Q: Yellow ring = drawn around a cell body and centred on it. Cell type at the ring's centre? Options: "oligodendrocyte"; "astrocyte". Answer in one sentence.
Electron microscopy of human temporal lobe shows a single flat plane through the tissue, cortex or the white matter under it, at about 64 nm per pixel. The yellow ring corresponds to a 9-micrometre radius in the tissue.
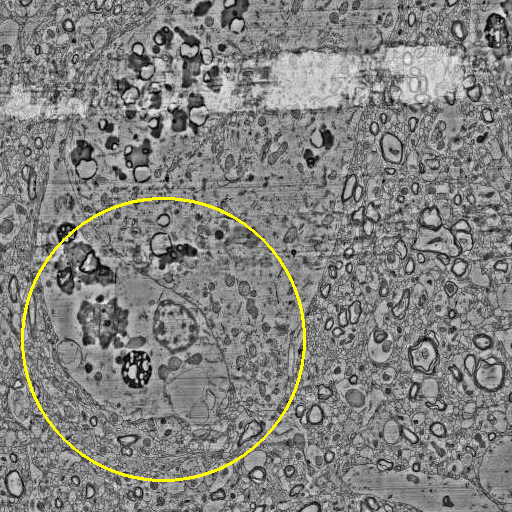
Centred in the ring is an astrocyte.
